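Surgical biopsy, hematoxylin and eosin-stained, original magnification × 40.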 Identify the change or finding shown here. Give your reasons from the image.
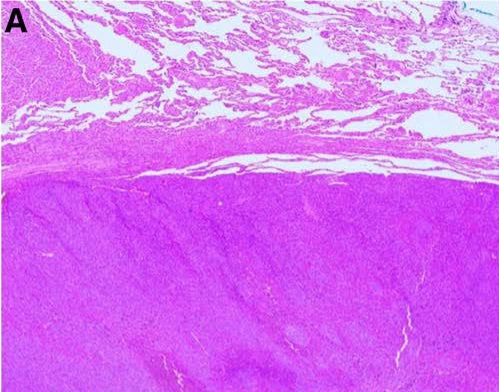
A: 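A dense, solid, cellular tissue fills the lower part of the panel. Loose, airy tissue with open spaces lies at the top.
A well-defined margin between the mass and normal lung parenchyma.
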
